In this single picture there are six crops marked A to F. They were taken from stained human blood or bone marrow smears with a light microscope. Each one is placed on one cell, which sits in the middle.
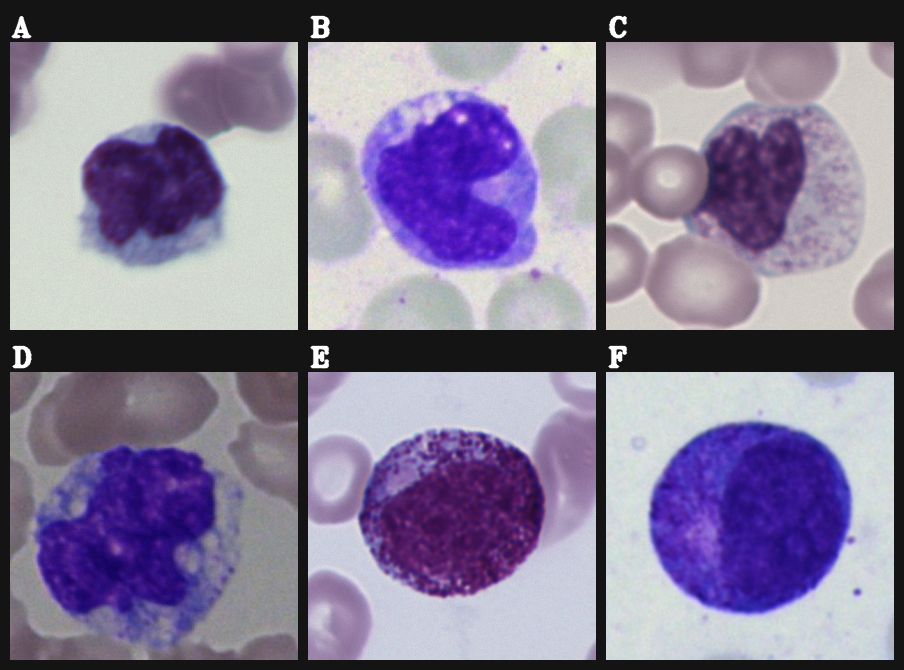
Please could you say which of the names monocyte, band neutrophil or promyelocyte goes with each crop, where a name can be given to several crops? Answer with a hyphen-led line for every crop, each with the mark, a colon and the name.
- A: monocyte
- B: monocyte
- C: band neutrophil
- D: monocyte
- E: promyelocyte
- F: promyelocyte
